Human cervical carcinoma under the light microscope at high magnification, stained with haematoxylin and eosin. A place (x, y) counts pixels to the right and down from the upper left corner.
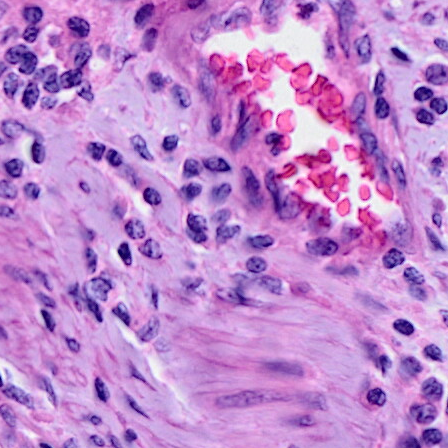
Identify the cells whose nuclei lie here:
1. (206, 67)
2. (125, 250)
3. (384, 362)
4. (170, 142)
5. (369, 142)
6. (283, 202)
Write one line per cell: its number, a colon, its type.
1: endothelial cell
2: lymphocyte
3: lymphocyte
4: lymphocyte
5: endothelial cell
6: endothelial cell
